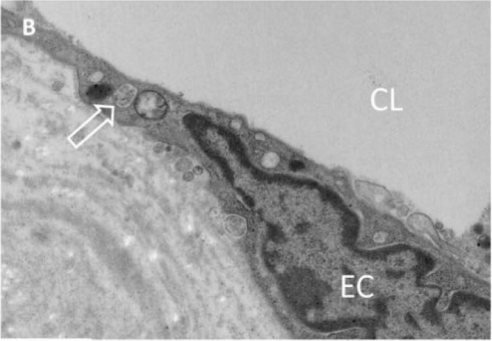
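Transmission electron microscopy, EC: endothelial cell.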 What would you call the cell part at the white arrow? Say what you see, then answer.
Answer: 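A round membrane-bound body containing small vesicles lies in the cytoplasm. It sits in a thin cell lining the lumen.
Conclusion: multivesicular body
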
